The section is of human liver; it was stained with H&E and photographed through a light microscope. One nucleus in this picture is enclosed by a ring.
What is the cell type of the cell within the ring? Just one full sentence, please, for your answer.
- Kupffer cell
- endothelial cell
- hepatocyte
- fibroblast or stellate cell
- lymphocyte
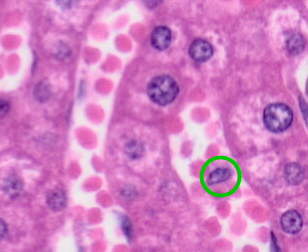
With respect to cell type, the cell within the ring is a Kupffer cell.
